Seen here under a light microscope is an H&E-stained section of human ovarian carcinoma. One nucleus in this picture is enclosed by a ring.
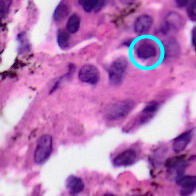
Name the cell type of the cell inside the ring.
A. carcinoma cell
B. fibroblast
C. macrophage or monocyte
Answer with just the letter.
A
